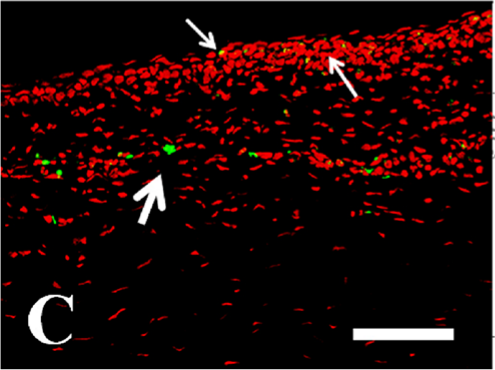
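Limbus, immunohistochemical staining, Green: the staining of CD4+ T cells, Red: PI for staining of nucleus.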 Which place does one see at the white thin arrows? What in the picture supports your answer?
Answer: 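The thin arrows point into the uppermost band of tightly packed red nuclei.
Epithelial layer.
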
